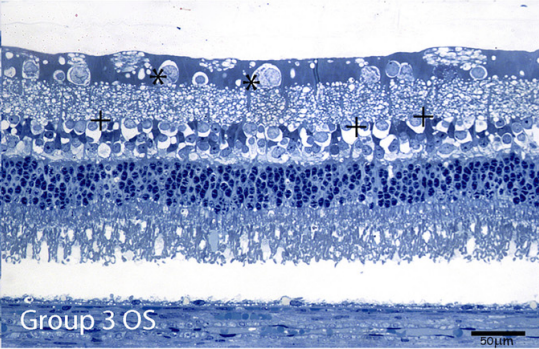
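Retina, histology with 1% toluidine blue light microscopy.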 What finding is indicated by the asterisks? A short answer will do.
Focal areas of vacuolization.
